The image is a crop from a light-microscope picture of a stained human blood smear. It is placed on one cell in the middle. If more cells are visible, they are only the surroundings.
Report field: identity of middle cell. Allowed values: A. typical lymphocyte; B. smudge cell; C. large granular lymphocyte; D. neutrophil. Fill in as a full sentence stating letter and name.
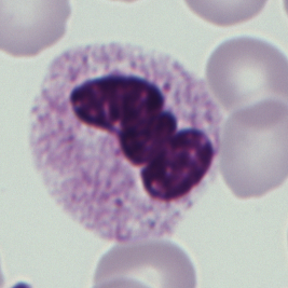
Option D is correct, naming the cell in the middle as a neutrophil.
